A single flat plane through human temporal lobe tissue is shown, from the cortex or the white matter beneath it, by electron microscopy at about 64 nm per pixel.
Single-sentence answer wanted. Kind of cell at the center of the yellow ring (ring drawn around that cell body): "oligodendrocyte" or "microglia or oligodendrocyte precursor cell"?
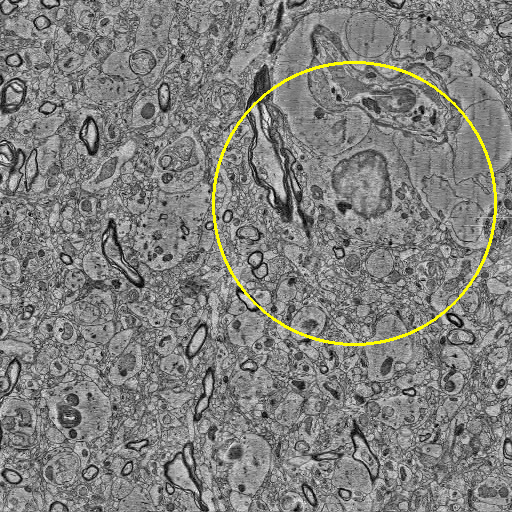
The cell centered in the ring is an oligodendrocyte.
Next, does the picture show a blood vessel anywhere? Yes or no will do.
Yes.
